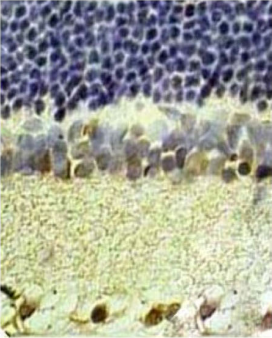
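Section of retina with a thick band of densely packed dark blue nuclei at the top, beneath which lies a layer of rounded nuclei with brownish staining. Below a wide pale finely meshed band, a row of scattered cells at the bottom edge shows strong brown staining.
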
